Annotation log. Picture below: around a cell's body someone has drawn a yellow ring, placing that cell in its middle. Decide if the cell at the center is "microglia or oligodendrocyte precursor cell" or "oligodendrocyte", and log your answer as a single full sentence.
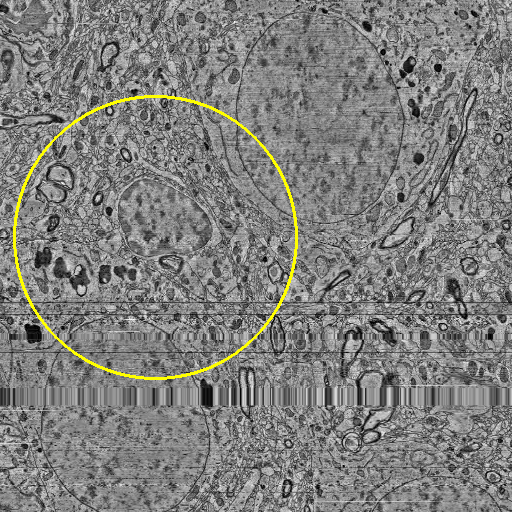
My entry records a microglial cell or oligodendrocyte precursor cell as the cell sitting at the center of the yellow ring.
